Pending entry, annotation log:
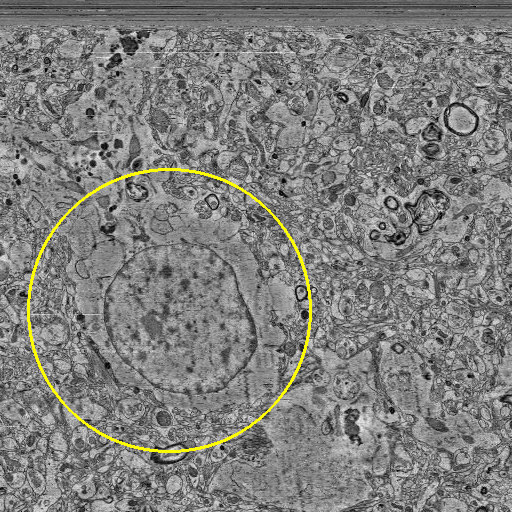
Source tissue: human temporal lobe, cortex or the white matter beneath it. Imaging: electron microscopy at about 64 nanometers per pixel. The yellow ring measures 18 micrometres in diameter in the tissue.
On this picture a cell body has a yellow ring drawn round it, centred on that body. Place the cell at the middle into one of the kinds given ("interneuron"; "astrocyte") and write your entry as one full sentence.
The cell body at the middle of the yellow ring belongs to an astrocyte.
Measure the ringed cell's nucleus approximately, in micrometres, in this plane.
Roughly 10 micrometers across, in this plane.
